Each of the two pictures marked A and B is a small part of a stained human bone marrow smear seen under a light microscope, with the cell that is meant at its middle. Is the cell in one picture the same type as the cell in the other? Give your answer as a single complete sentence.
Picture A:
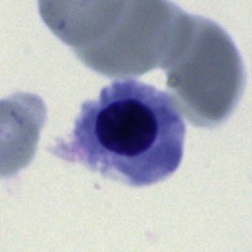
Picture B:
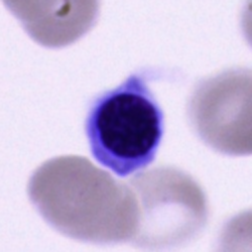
Yes, the two pictures both show erythroblasts.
